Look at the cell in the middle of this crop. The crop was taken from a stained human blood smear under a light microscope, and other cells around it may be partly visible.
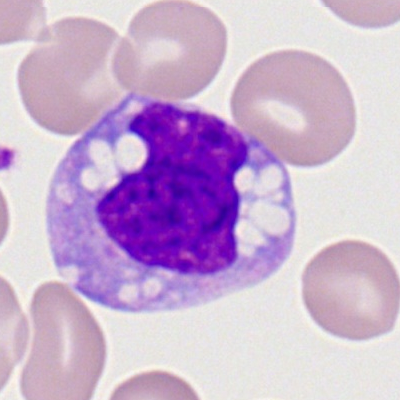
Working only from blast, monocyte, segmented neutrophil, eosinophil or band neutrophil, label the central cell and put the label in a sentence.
In the middle of this smear crop is a monocyte.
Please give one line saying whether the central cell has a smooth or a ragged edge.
If you check the edge, you will find it smooth without projections.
